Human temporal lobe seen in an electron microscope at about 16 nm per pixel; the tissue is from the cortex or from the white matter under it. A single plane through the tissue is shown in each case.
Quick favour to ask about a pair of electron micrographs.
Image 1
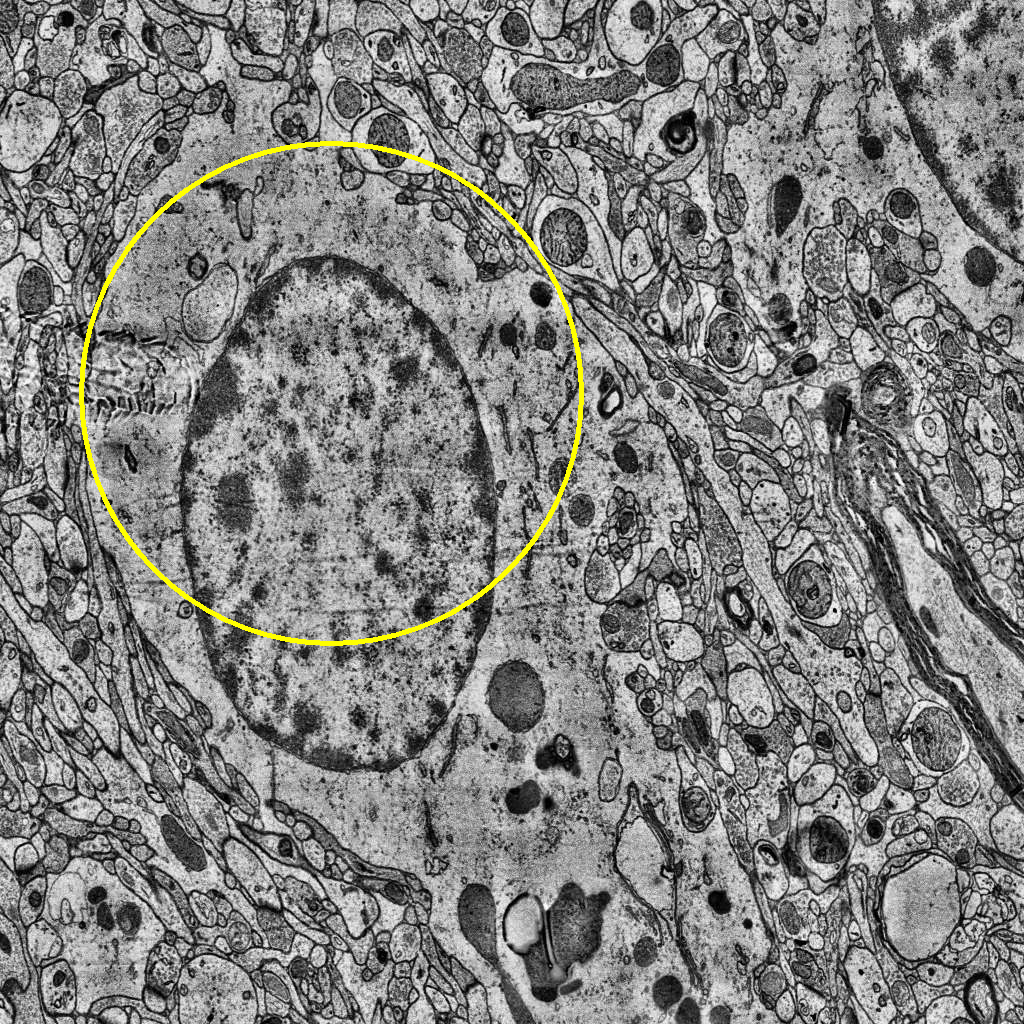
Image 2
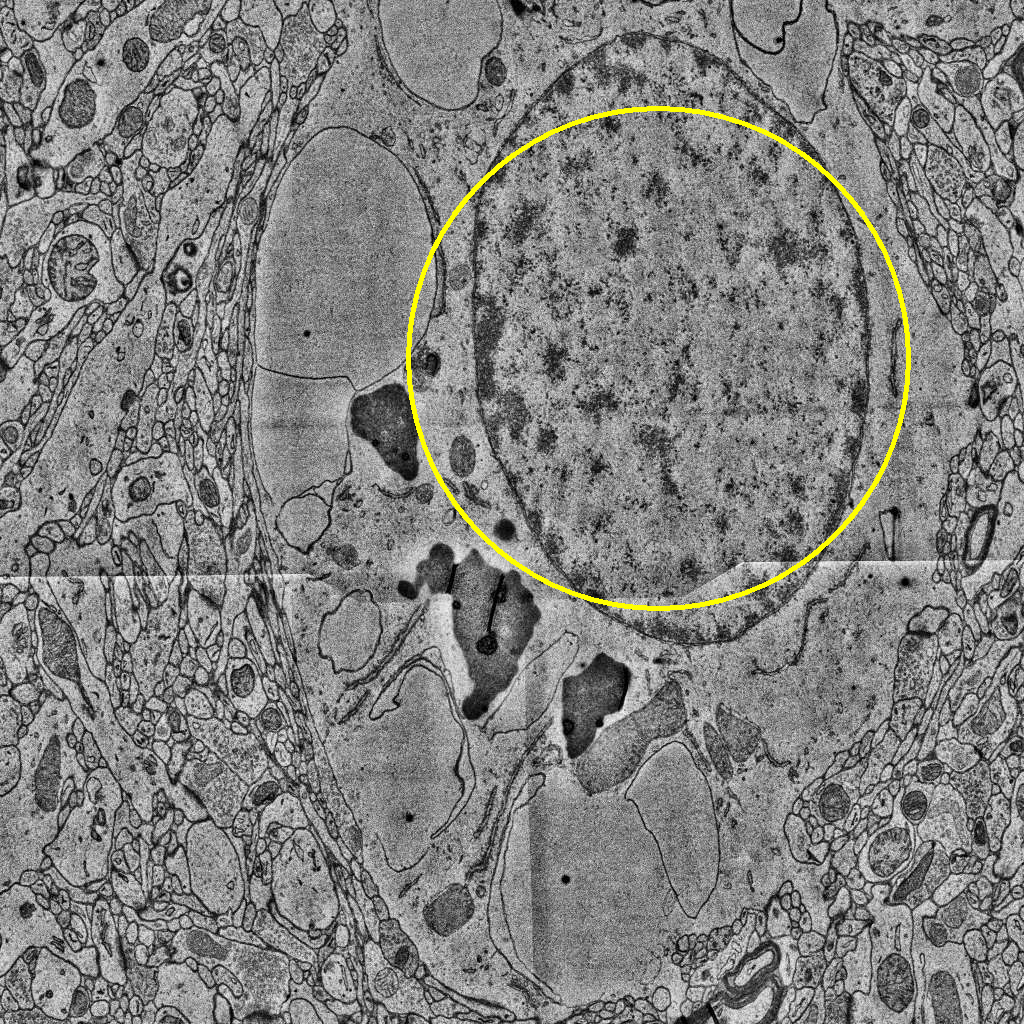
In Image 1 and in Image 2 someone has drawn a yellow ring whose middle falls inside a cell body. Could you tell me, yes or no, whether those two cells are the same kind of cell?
yes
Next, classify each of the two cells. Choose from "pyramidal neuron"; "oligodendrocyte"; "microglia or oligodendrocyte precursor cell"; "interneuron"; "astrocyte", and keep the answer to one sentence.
The second cell is an astrocyte, just as the first is.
